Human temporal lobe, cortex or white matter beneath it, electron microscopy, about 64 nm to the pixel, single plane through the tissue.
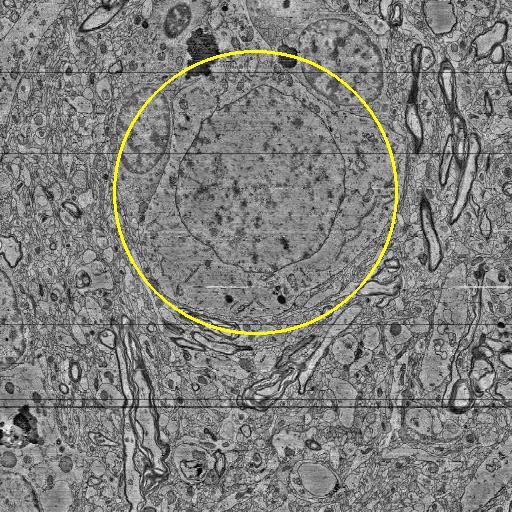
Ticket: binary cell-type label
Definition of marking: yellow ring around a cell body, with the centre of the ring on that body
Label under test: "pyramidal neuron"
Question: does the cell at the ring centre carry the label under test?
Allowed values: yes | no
yes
